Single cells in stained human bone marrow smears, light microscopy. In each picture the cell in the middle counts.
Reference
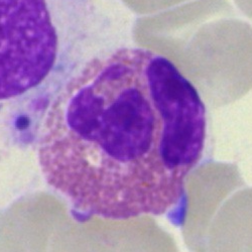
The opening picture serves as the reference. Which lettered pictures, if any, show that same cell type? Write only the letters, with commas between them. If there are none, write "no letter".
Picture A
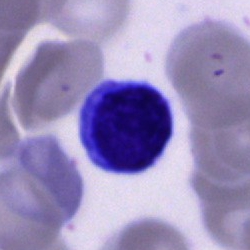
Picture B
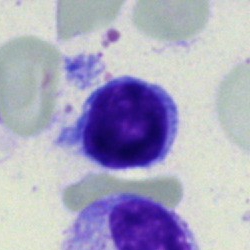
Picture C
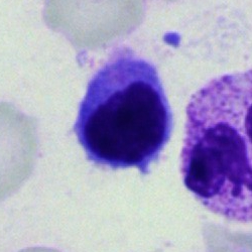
no letter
